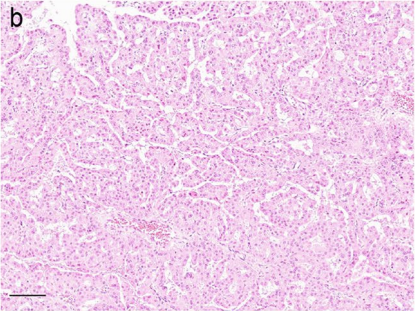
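This is a neoplasm made of epithelial cells arranged in complex branching papillary structures. At this magnification the cells form anastomosing cords and fronds, each supported by a fine, delicate core, with narrow clear spaces between them. The cells have pink cytoplasm and small, fairly regular nuclei spaced evenly along the cords. A small cluster of red blood cells lies in one of the cores near the lower middle. The pattern is crowded and intricate, with little intervening stroma.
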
